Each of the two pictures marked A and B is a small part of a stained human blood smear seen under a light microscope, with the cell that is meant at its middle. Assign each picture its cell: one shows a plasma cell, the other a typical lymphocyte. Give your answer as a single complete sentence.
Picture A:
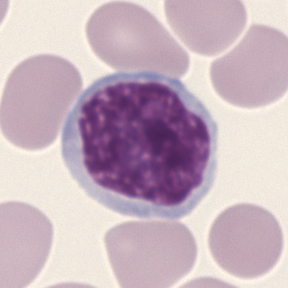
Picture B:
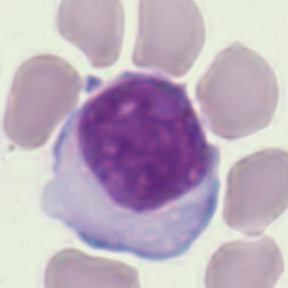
In picture A the cell is a typical lymphocyte; in picture B, a plasma cell.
